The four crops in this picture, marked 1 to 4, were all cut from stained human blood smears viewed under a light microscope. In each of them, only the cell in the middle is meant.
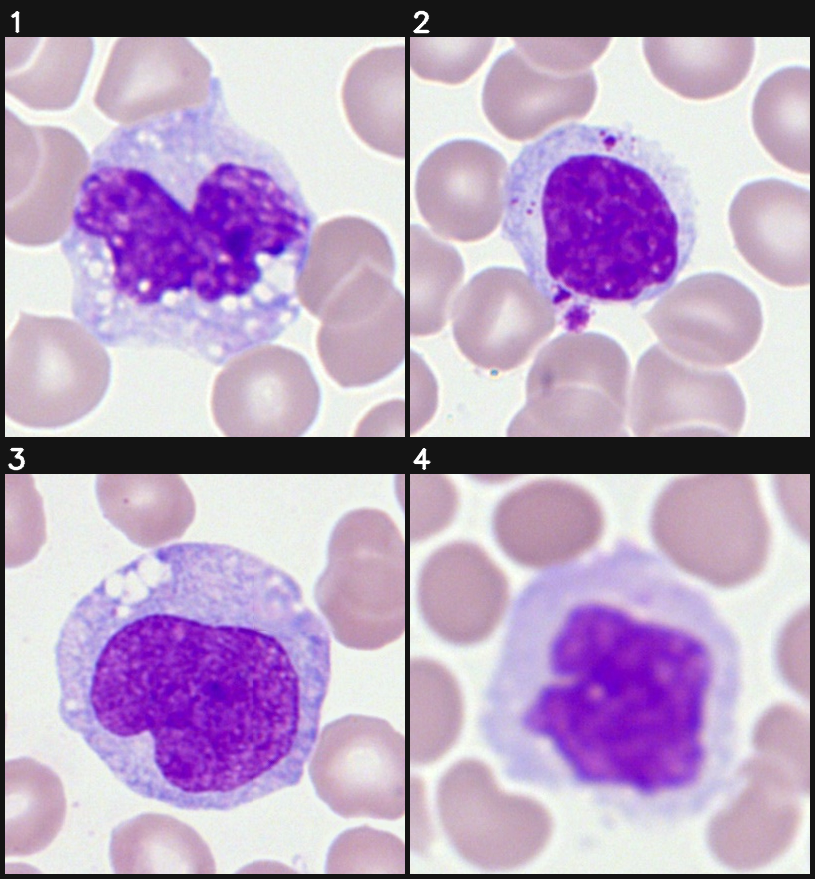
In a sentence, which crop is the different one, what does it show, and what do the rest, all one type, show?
Unlike the rest, which all show monocytes, crop 2 contains a lymphocyte.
